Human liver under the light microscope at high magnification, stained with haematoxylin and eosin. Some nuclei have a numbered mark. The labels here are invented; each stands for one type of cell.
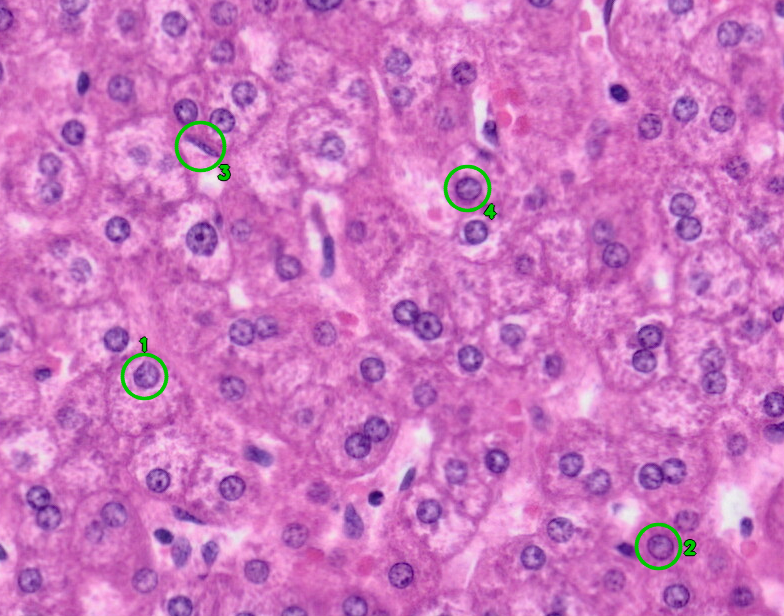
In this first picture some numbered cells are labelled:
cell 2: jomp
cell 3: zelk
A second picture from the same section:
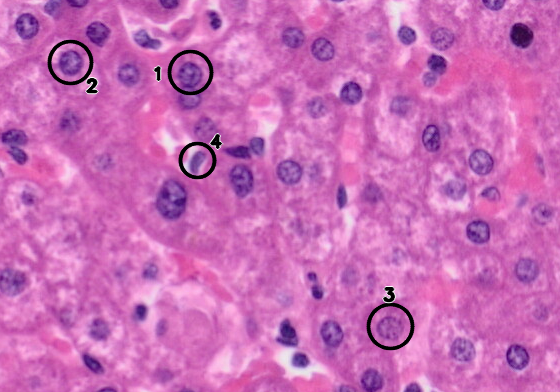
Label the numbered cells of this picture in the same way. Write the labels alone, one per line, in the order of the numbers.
jomp
jomp
jomp
zelk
